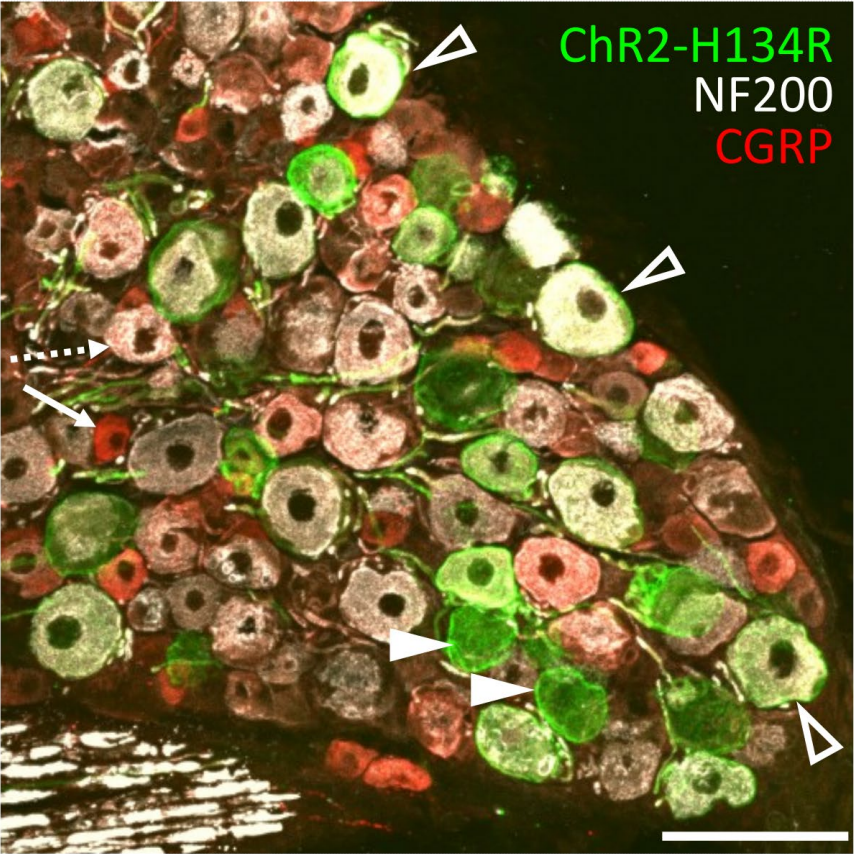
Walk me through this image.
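A sensory ganglion in cross section, densely packed with rounded neuronal cell bodies of widely varying size, many of the larger ones showing a dark, round, central nucleus within a broad pale cytoplasm. A subset of medium and large cell bodies carries green label concentrated at the cell rim, many larger cells are pale white-pink, and a number of small cell bodies are solidly bright red. Thin fibers wind between the cell bodies, and a bundle of parallel fibers lies in the lower left corner.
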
